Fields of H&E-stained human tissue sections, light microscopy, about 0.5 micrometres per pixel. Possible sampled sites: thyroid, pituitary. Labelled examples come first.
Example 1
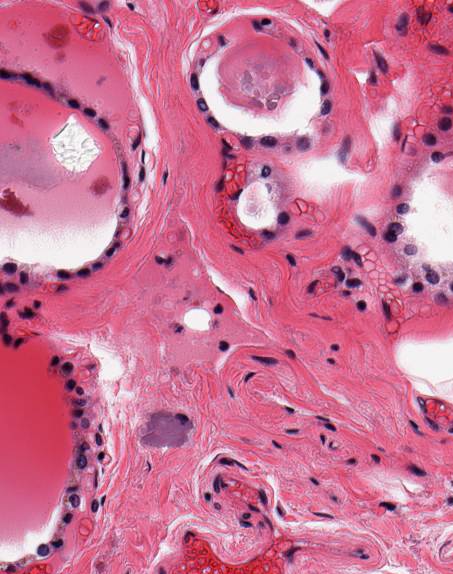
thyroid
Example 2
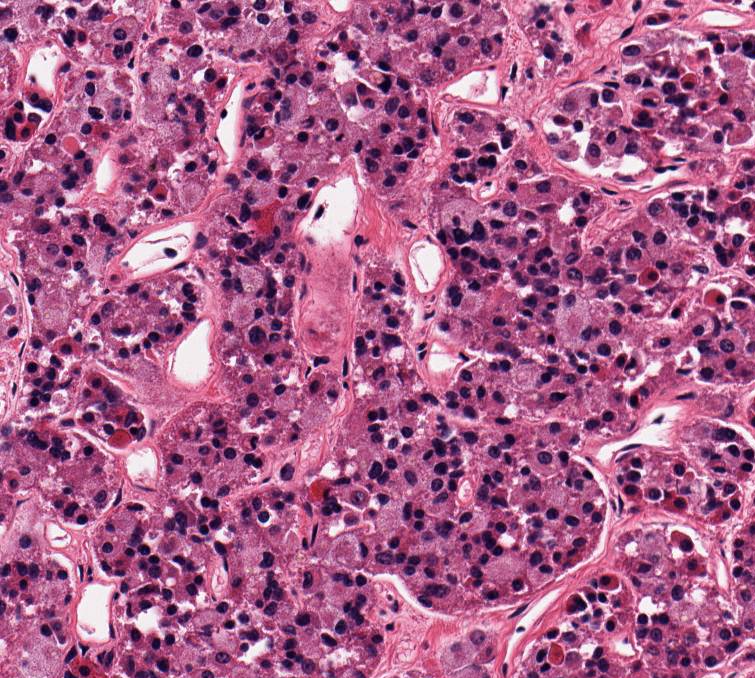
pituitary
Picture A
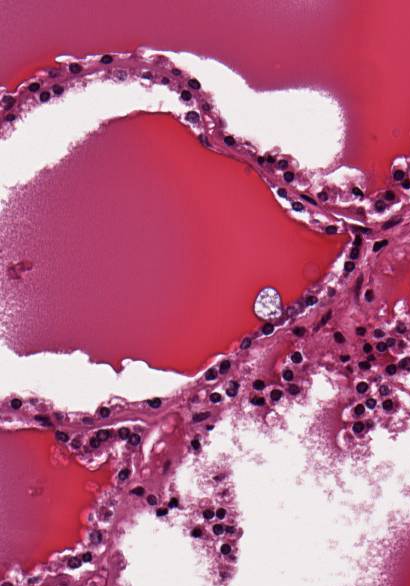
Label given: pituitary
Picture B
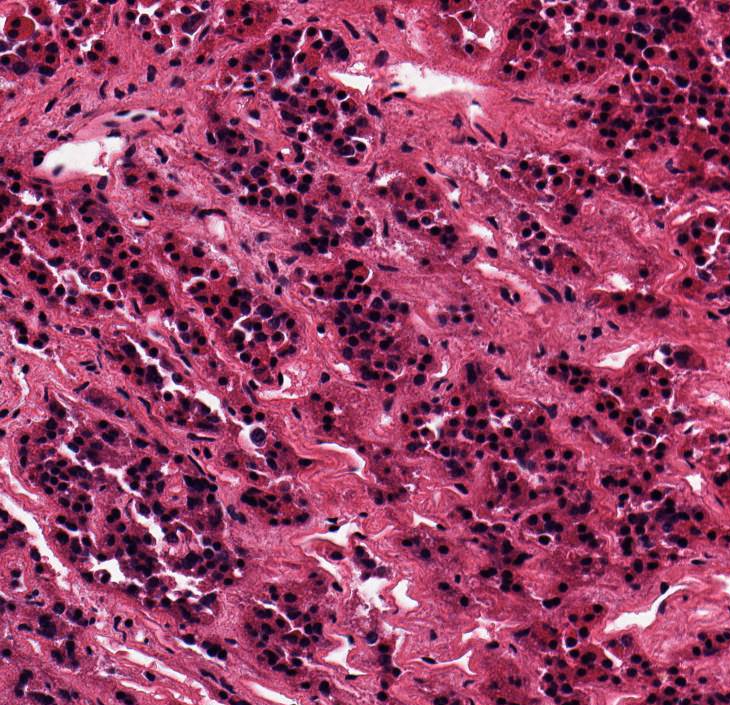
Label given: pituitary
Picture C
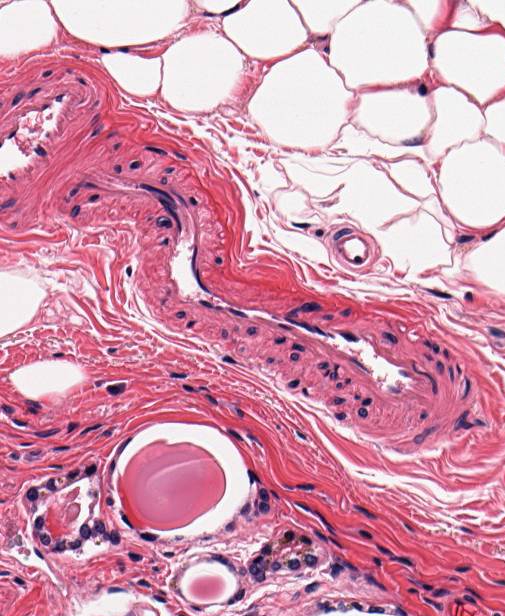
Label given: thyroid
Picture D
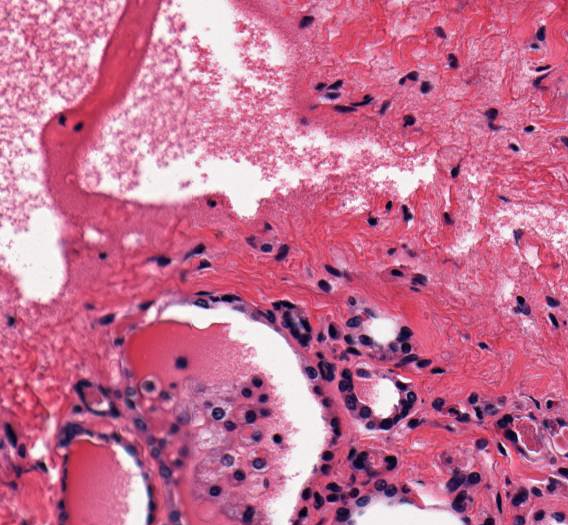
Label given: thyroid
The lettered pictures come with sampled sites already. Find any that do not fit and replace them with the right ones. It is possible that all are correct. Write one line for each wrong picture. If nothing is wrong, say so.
A: change pituitary to thyroid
